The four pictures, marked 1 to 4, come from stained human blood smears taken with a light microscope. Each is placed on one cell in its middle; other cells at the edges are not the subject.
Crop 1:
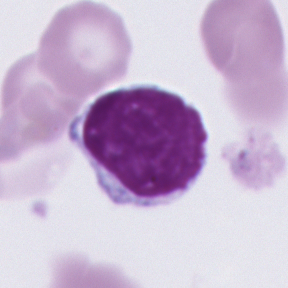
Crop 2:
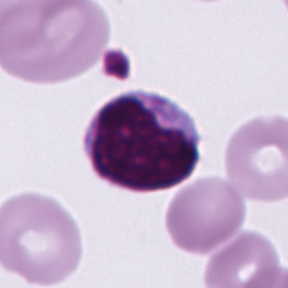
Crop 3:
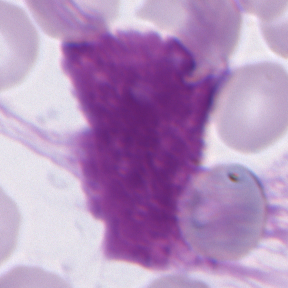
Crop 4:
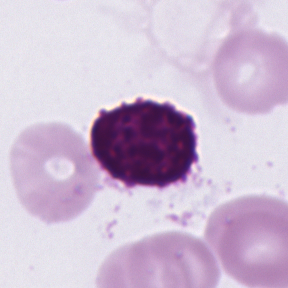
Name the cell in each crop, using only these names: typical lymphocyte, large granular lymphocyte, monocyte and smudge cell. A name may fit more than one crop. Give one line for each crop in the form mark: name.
1: typical lymphocyte
2: typical lymphocyte
3: smudge cell
4: smudge cell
